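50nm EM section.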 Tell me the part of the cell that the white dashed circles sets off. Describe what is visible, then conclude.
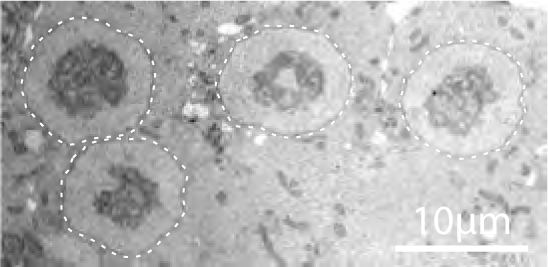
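Round profiles with a paler rim around a darker granular centre.
Answer: nuclei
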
